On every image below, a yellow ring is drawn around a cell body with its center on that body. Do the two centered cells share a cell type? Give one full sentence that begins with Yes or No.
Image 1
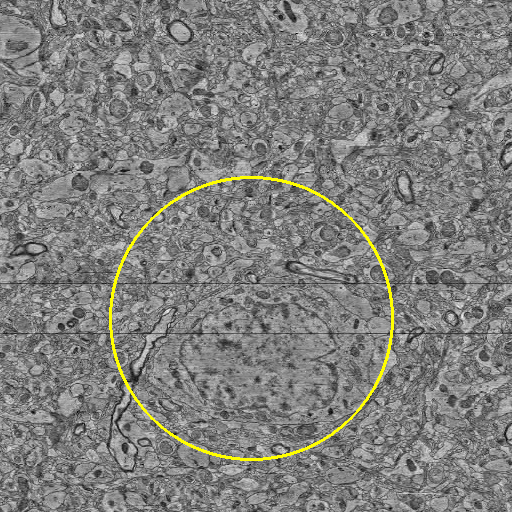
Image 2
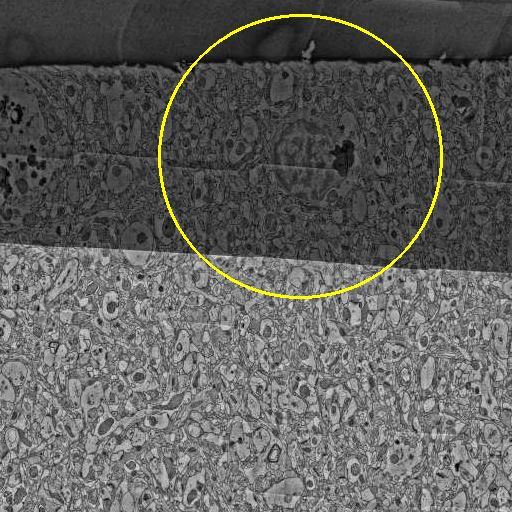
No, the centered cells in the two images are of two separate cell types.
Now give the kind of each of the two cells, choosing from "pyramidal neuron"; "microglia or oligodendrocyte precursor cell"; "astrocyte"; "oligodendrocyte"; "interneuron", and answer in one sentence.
The cell in the first picture is an interneuron, and the cell in the second is an oligodendrocyte.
